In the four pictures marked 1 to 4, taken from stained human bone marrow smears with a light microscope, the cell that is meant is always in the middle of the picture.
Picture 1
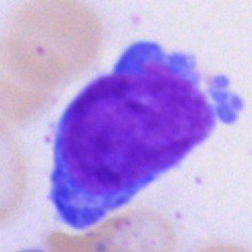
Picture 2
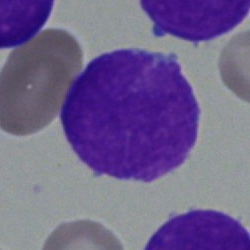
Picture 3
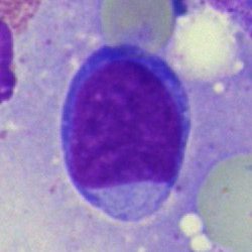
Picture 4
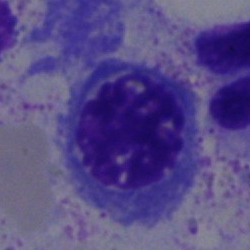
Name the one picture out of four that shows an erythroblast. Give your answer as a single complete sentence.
The erythroblast is the one in picture 4.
